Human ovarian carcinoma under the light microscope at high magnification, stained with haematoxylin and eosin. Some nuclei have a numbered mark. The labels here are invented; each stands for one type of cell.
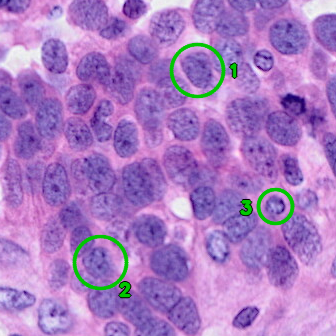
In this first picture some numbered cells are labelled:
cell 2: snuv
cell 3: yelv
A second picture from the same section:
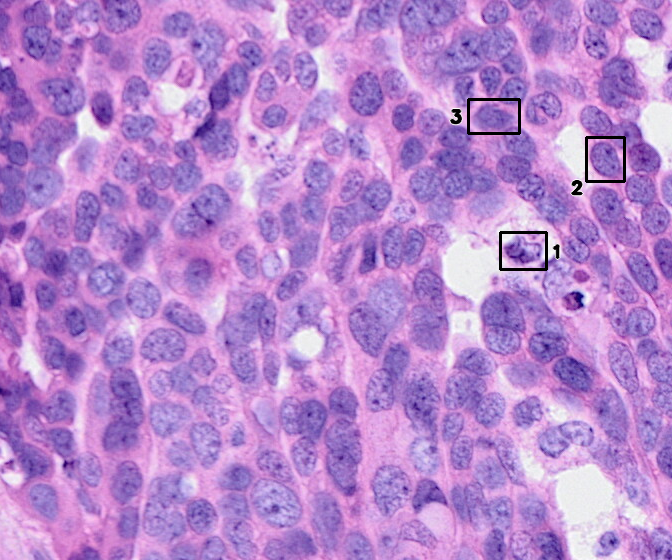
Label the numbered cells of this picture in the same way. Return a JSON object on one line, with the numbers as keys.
{"1": "yelv", "2": "snuv", "3": "snuv"}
